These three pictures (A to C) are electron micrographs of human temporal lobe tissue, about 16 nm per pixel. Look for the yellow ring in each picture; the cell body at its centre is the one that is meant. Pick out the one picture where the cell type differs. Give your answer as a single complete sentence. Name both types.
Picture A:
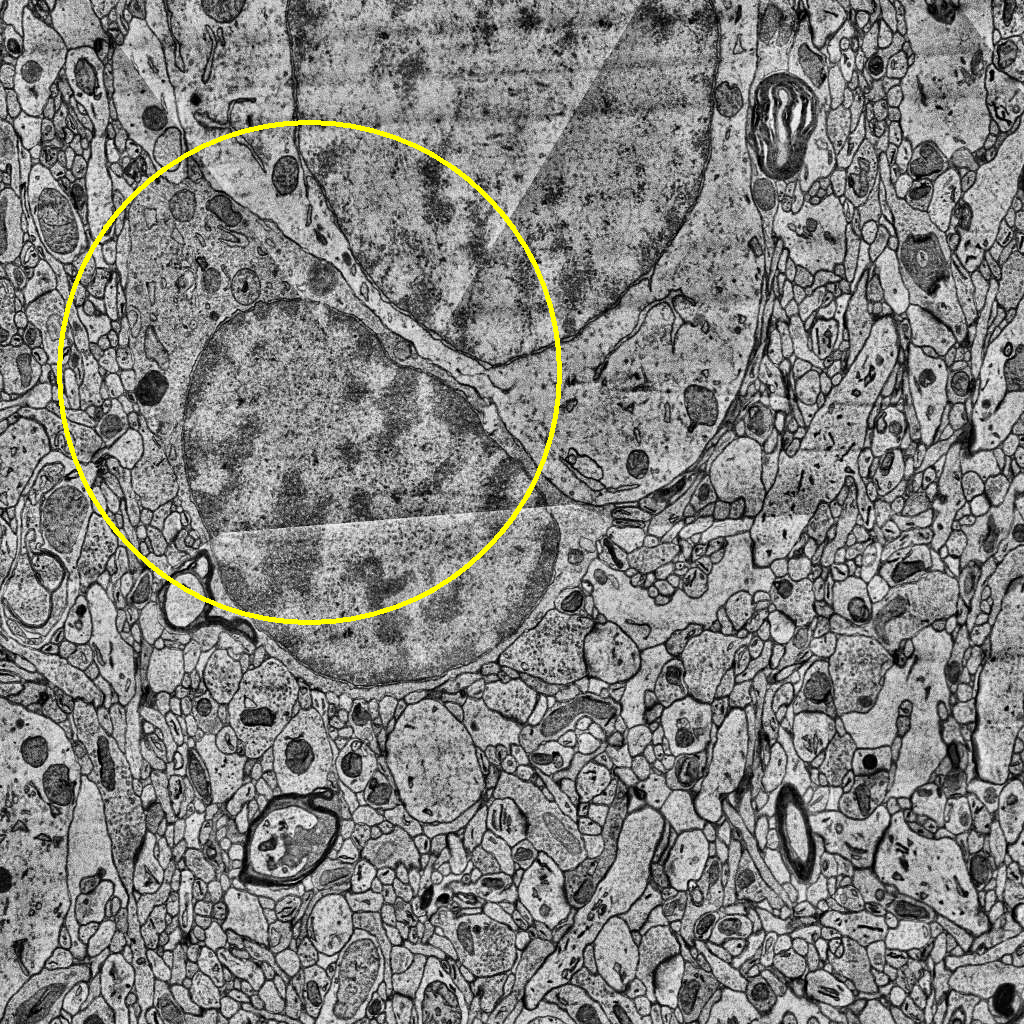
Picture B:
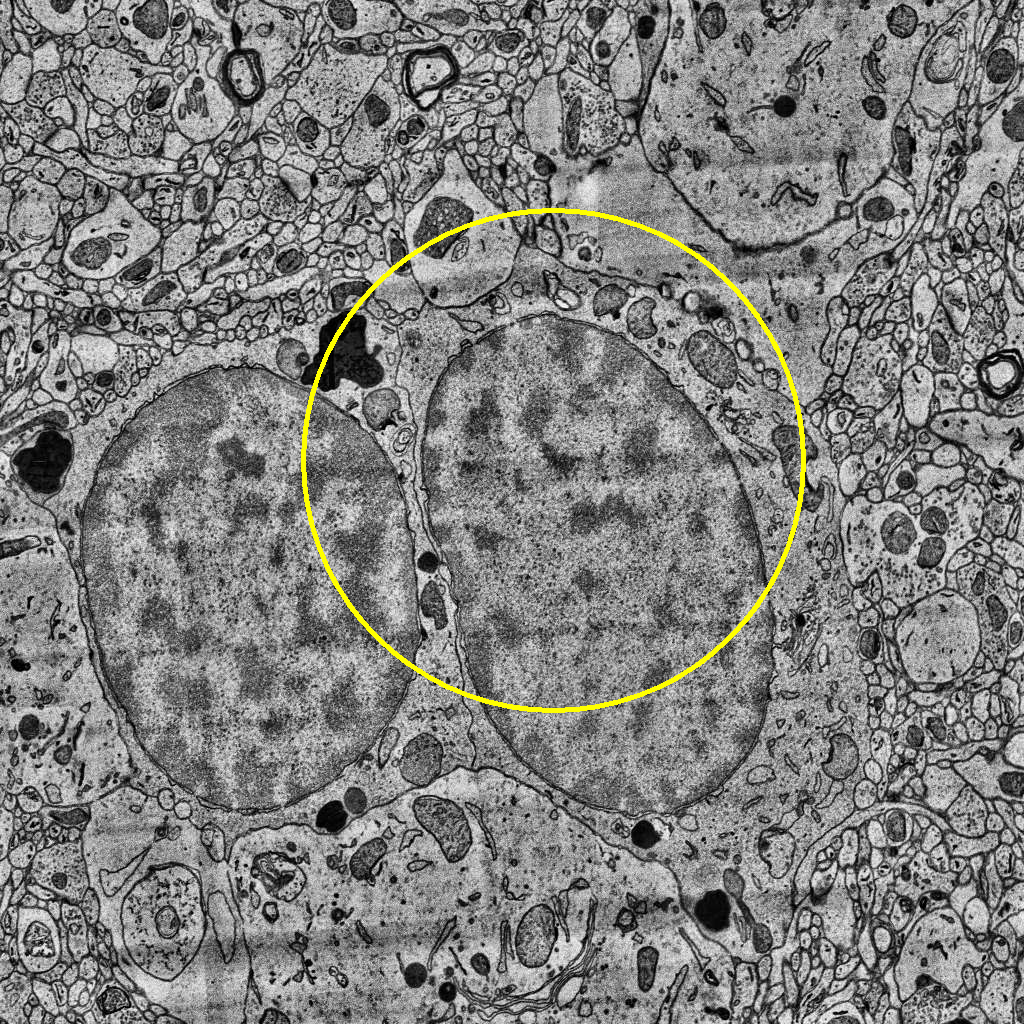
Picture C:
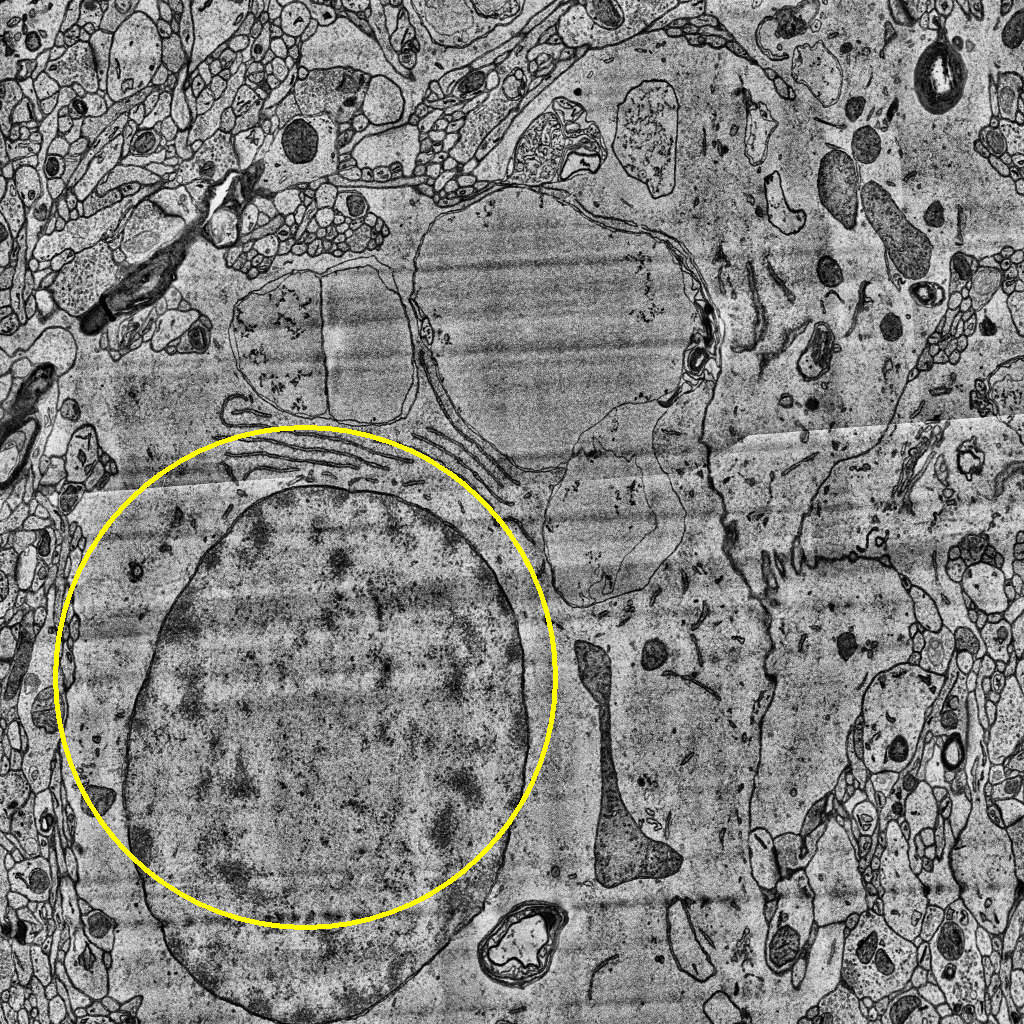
The different one is picture C; it shows an astrocyte, whereas all the others show oligodendrocytes.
